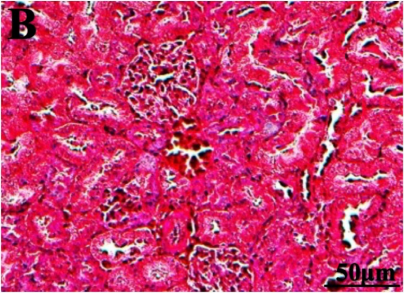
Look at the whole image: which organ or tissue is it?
Kidneys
